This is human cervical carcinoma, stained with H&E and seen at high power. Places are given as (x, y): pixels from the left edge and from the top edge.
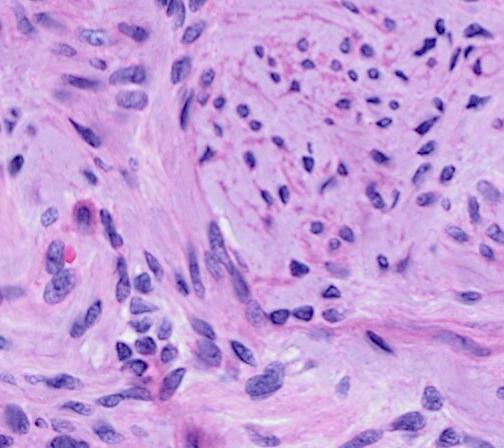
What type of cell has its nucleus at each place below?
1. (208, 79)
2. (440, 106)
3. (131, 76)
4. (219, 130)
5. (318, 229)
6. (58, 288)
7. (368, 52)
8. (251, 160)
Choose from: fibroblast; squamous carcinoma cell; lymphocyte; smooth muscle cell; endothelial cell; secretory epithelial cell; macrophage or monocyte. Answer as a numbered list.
1. smooth muscle cell
2. fibroblast
3. fibroblast
4. smooth muscle cell
5. smooth muscle cell
6. endothelial cell
7. smooth muscle cell
8. smooth muscle cell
